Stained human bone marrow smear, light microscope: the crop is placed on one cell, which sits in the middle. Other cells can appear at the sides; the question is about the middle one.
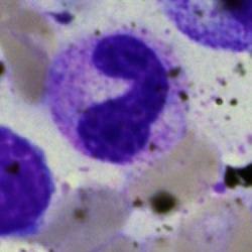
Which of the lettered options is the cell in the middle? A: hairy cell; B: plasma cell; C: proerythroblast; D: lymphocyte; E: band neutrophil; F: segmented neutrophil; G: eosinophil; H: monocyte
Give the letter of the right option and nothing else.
E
